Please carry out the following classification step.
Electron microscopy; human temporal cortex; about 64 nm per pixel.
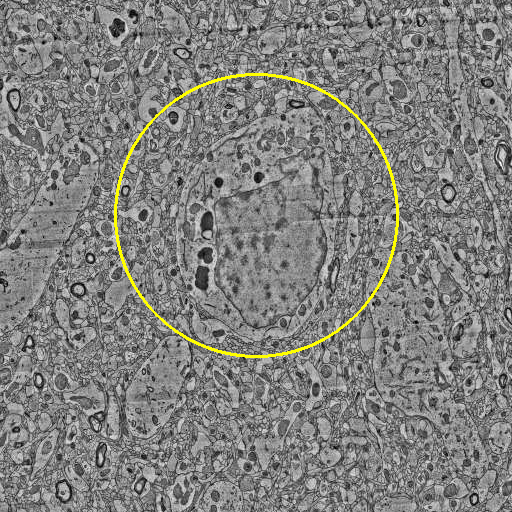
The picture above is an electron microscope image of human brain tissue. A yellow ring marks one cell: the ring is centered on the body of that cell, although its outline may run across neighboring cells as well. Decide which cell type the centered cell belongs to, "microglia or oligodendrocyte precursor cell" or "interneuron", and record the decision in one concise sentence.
The cell centered in the yellow ring is an interneuron.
